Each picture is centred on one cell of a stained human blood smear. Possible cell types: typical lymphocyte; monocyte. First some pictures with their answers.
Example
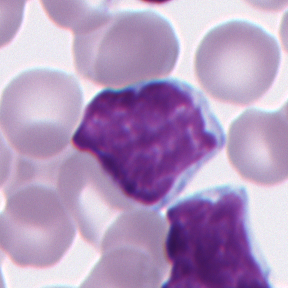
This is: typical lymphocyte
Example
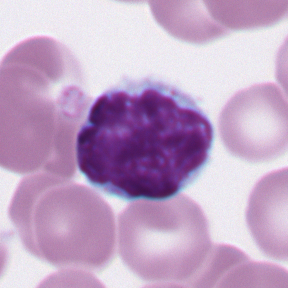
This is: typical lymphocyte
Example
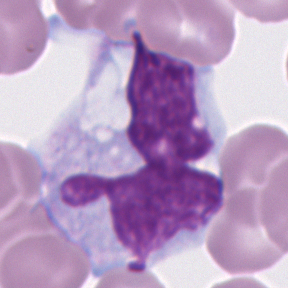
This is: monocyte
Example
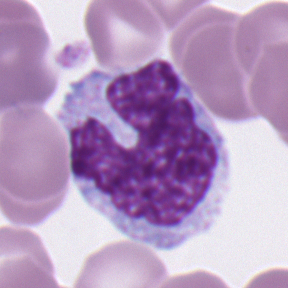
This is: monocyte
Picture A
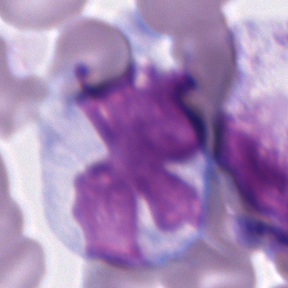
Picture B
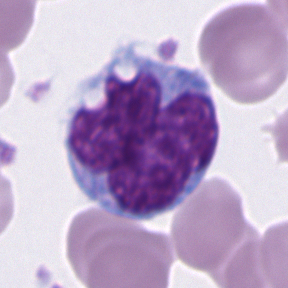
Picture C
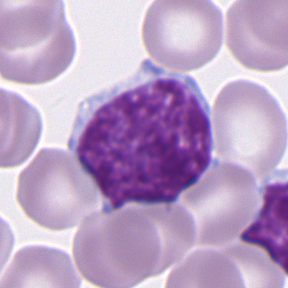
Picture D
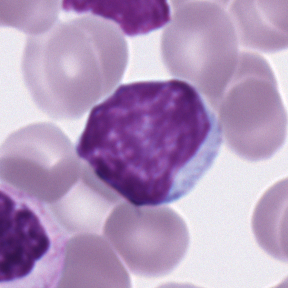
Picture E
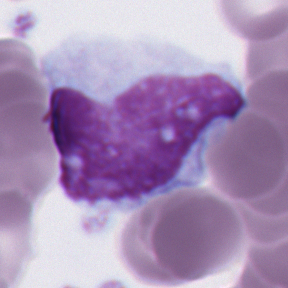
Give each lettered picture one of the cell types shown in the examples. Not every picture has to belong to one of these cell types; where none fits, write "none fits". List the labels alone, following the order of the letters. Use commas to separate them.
monocyte, monocyte, typical lymphocyte, typical lymphocyte, monocyte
